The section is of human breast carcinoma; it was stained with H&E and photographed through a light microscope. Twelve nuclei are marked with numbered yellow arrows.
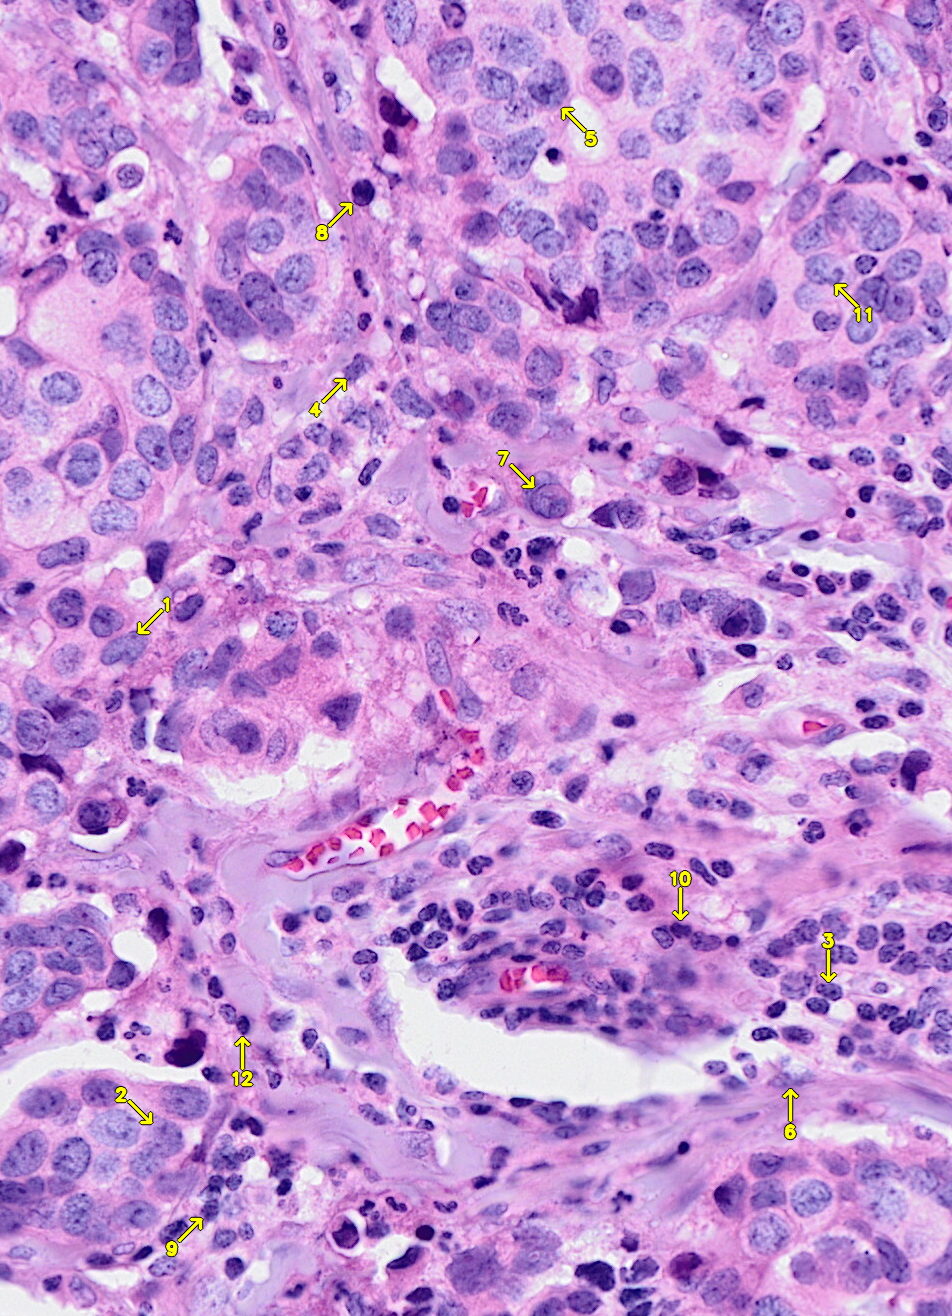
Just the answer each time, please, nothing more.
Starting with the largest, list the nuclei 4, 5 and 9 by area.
5, 4, 9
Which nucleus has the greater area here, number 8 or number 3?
8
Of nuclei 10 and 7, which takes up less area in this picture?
10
